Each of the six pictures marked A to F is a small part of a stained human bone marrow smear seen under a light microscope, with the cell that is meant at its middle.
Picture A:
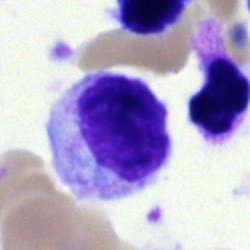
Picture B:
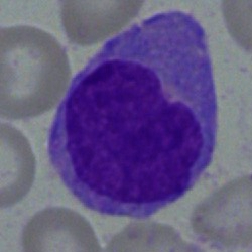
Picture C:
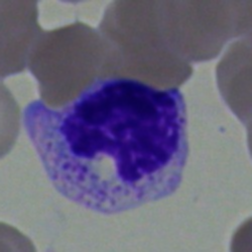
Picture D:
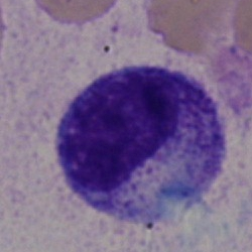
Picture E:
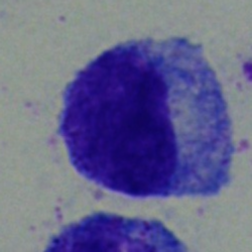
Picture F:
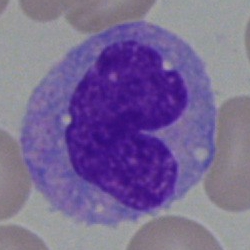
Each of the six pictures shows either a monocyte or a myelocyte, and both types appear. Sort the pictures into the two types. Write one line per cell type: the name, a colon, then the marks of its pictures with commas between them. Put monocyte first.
monocyte: B, F
myelocyte: A, C, D, E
